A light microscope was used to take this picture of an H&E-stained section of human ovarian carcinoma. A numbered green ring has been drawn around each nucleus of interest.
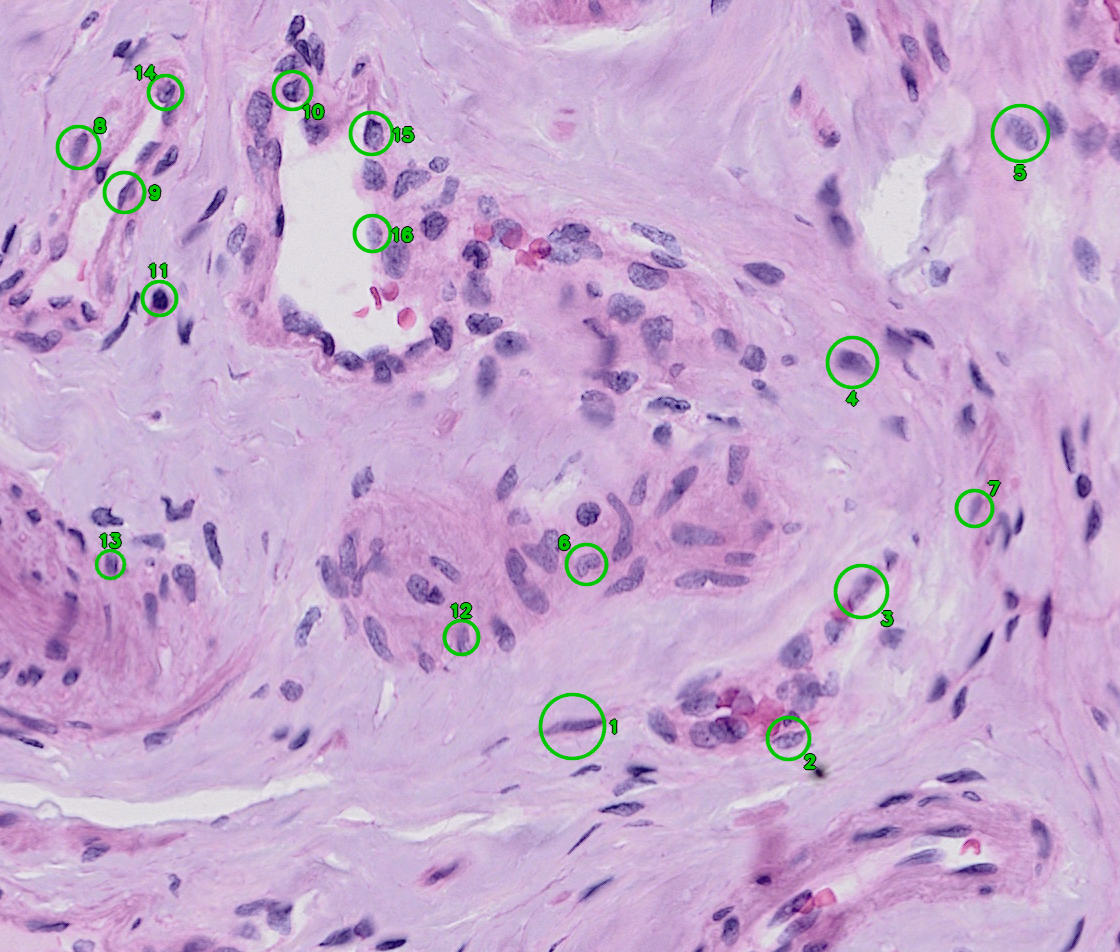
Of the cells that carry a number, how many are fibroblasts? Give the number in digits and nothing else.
2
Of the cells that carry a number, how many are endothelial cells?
7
